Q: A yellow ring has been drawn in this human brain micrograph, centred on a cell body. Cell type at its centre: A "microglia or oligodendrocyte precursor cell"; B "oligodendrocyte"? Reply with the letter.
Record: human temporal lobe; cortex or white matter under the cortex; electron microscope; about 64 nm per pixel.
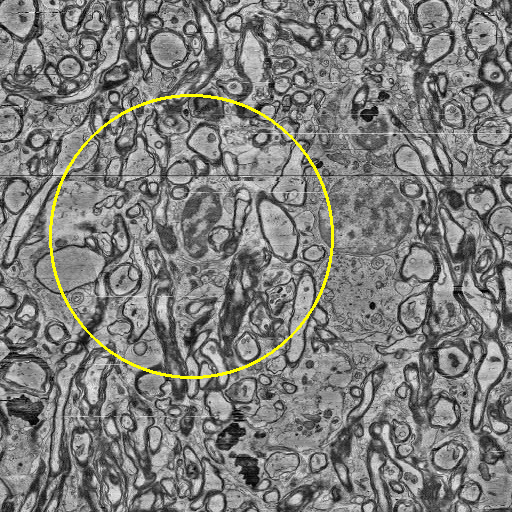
A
